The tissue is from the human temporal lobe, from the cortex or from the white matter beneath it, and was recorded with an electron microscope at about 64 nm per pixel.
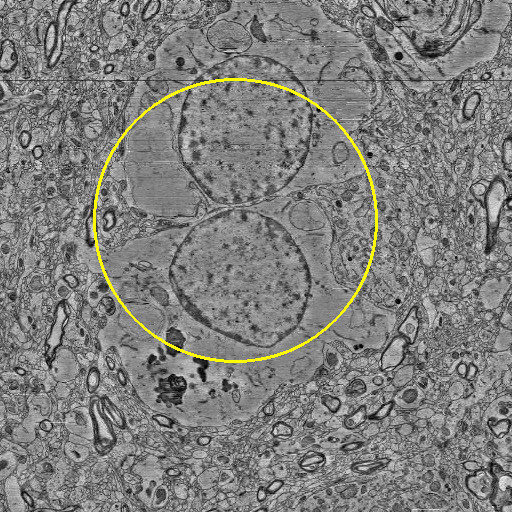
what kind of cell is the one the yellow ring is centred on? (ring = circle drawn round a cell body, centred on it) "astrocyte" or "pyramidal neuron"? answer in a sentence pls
The ring is drawn around an astrocyte.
